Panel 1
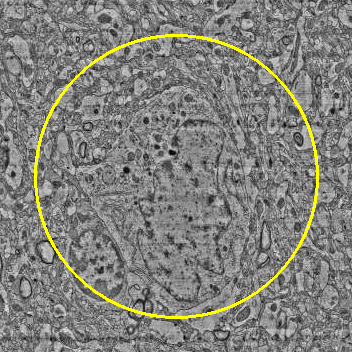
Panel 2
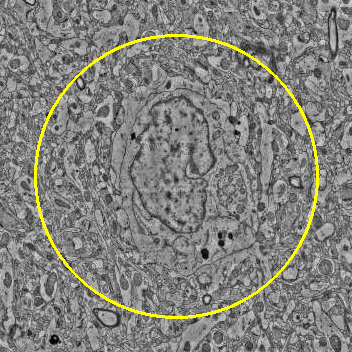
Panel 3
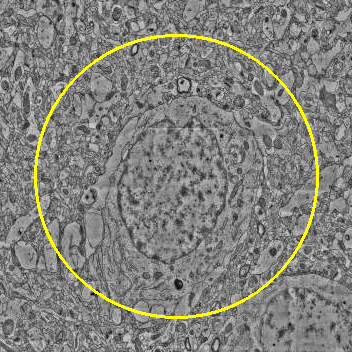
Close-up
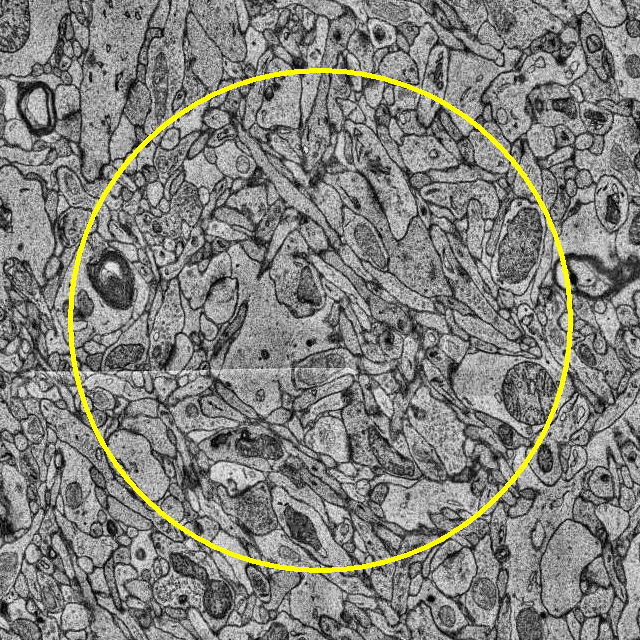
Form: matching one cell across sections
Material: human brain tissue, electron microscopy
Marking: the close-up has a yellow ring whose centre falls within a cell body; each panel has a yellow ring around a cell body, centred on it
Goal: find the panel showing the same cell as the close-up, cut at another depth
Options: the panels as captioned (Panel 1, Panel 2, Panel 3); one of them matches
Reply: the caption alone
Panel 2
